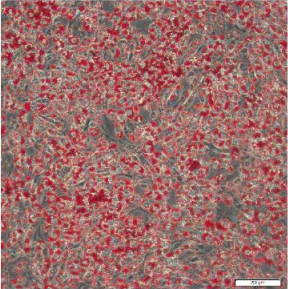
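The droplets are small and round, gathered in clusters within the cytoplasm of many cells across the field. Between the red clusters lie elongated grey cells with little or no red, still spindle-shaped.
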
